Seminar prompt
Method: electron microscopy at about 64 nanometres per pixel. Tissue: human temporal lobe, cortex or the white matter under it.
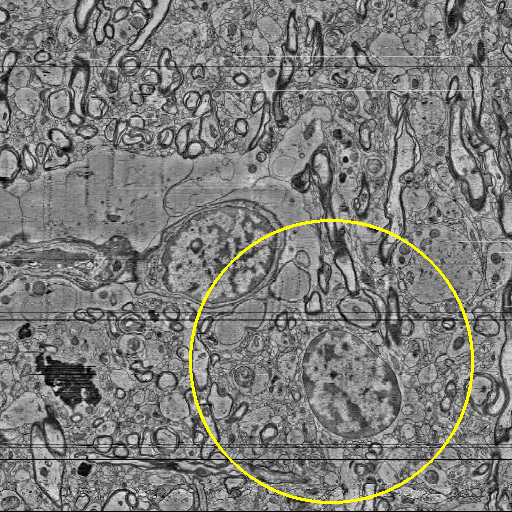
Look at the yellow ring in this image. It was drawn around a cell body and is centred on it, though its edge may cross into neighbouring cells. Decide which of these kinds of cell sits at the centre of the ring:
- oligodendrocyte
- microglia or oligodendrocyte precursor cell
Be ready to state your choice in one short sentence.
The kind of cell at the ring's centre is a microglial cell or oligodendrocyte precursor cell.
